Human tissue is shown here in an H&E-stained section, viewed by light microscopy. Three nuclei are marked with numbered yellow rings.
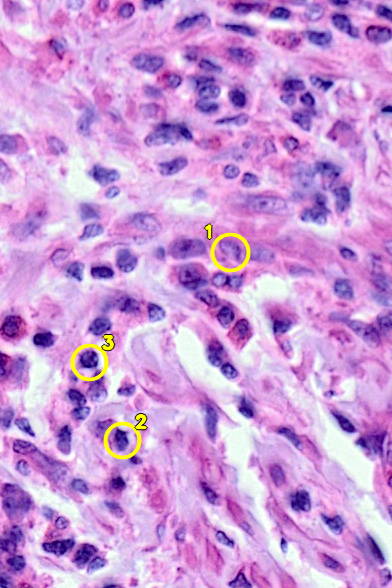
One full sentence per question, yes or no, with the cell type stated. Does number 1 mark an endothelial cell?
Yes, the cell identified as number 1 is an endothelial cell.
